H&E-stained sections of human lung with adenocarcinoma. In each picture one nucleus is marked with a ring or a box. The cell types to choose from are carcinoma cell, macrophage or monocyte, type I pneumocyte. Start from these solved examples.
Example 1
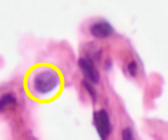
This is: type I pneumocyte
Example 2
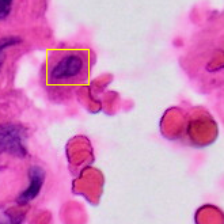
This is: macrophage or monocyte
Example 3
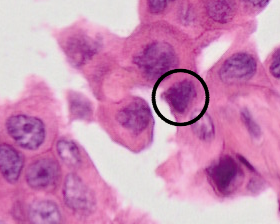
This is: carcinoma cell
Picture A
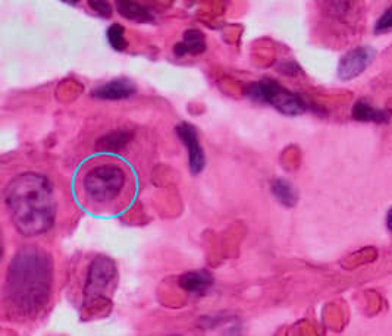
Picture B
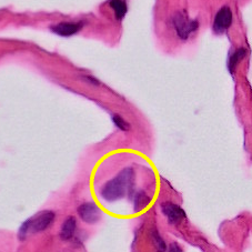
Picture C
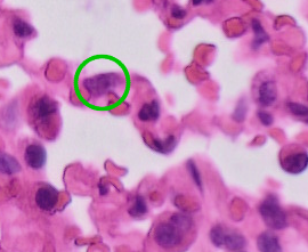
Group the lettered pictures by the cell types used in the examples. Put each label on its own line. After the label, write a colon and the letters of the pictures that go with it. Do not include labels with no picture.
macrophage or monocyte: A
type I pneumocyte: B, C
